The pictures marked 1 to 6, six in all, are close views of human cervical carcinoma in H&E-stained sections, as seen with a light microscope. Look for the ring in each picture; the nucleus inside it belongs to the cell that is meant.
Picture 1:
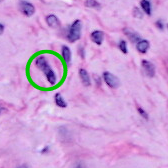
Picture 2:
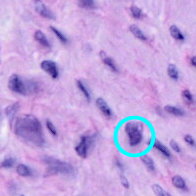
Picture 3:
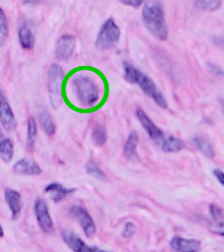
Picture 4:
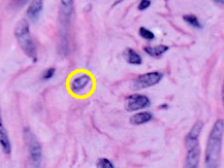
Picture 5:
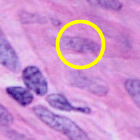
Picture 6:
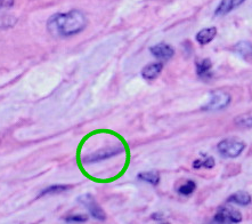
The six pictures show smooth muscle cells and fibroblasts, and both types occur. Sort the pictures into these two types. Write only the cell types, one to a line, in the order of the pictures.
smooth muscle cell
fibroblast
smooth muscle cell
smooth muscle cell
smooth muscle cell
fibroblast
